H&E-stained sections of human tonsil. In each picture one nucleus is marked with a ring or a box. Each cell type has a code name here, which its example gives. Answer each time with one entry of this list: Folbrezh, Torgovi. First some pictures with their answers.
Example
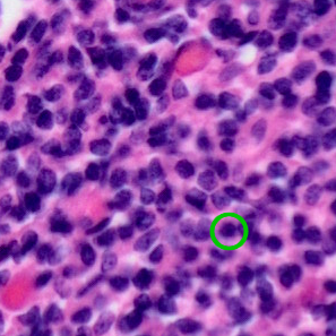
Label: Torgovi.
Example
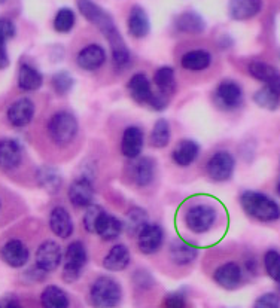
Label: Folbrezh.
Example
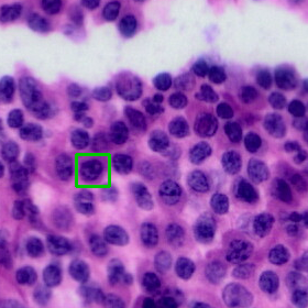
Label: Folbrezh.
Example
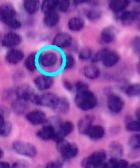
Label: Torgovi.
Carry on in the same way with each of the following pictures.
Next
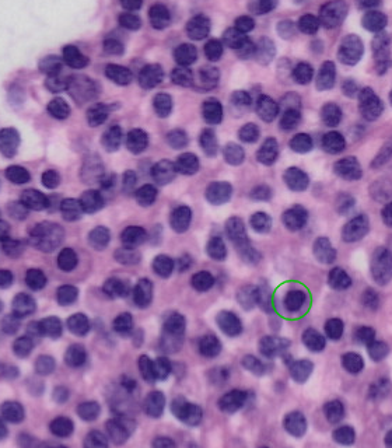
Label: Folbrezh.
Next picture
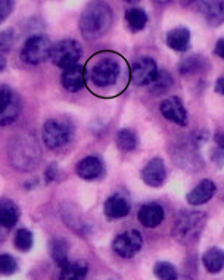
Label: Folbrezh.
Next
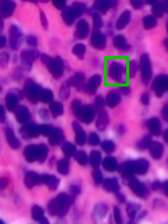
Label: Folbrezh.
